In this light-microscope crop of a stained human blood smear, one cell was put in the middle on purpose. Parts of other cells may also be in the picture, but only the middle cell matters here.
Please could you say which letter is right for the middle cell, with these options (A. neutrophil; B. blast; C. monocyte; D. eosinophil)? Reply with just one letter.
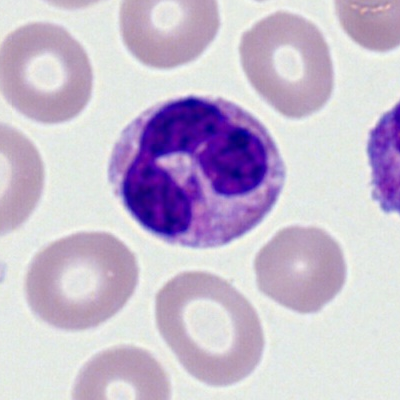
A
